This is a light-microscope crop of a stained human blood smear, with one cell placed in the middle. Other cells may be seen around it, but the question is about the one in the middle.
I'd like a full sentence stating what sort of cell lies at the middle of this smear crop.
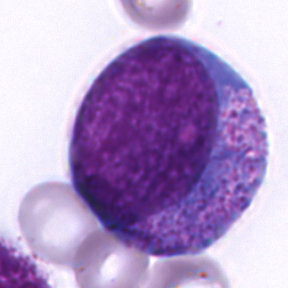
Framed in the middle of the crop is a promyelocyte.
